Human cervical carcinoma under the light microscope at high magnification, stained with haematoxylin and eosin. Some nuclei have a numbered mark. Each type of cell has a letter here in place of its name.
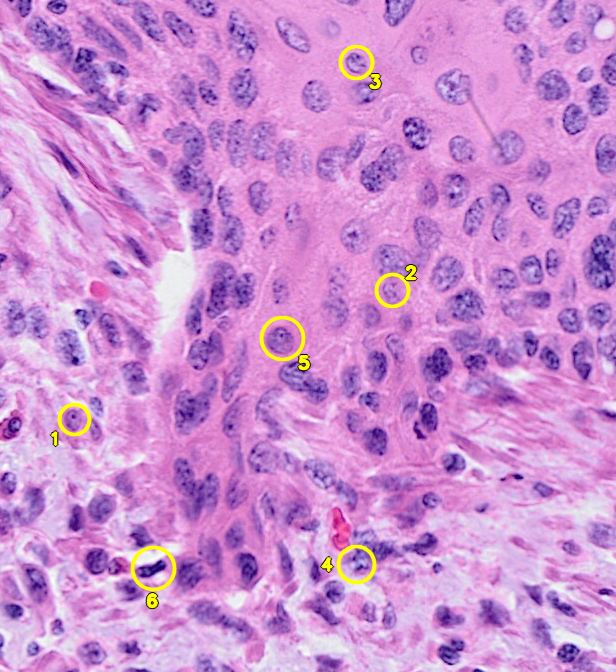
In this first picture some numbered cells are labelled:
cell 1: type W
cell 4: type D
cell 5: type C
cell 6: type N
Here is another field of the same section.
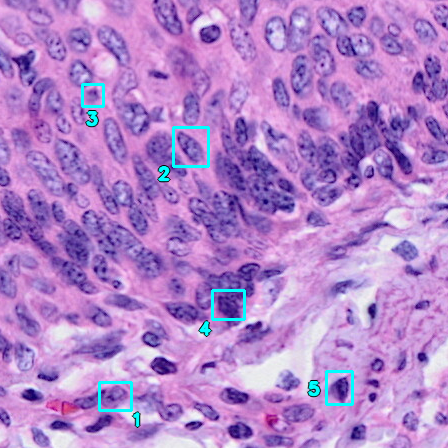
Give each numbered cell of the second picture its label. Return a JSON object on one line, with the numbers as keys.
{"1": "type D", "2": "type C", "3": "type C", "4": "type C", "5": "type N"}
